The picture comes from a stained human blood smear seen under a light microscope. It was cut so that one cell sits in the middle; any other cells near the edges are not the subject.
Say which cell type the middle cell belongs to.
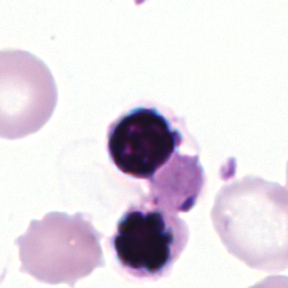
normoblast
